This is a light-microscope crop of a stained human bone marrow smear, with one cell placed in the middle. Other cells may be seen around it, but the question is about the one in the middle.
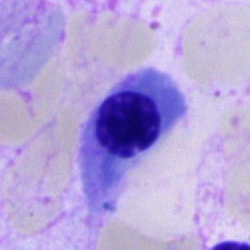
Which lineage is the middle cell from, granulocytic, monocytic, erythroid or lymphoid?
erythroid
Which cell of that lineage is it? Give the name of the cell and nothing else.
erythroblast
